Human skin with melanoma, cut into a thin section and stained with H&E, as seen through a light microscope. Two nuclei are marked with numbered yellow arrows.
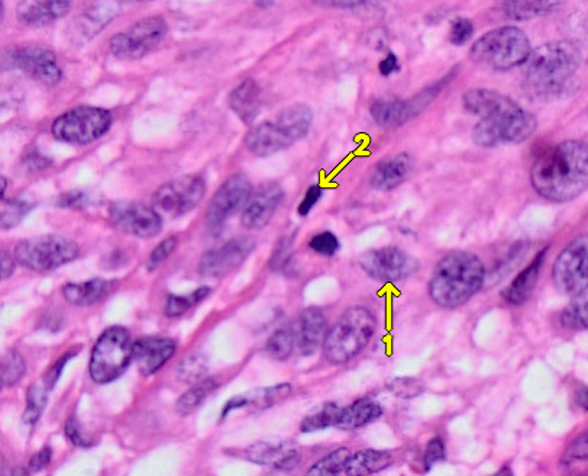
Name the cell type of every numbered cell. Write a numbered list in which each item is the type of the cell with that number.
1. melanoma cell
2. lymphocyte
